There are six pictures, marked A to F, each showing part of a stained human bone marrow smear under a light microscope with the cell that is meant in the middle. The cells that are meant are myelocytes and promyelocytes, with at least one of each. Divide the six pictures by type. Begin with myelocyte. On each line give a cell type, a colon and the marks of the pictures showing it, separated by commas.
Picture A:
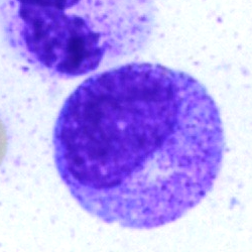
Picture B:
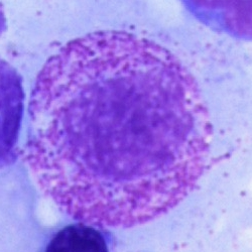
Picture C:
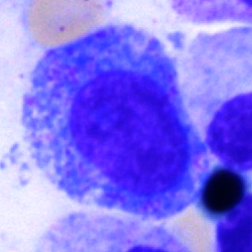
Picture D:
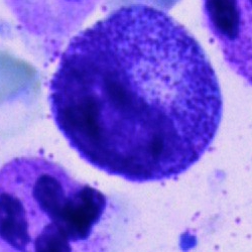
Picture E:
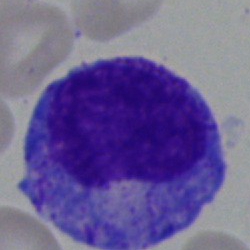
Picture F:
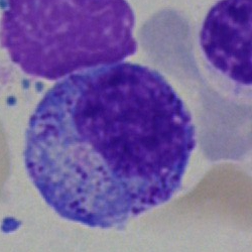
myelocyte: A, B, D, F
promyelocyte: C, E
